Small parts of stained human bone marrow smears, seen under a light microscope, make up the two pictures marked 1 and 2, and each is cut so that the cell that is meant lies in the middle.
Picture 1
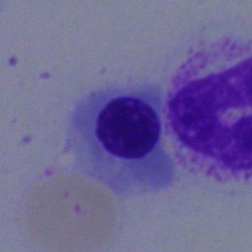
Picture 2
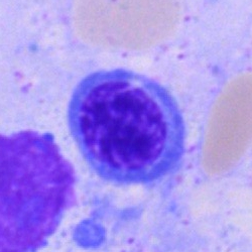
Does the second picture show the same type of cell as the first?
yes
